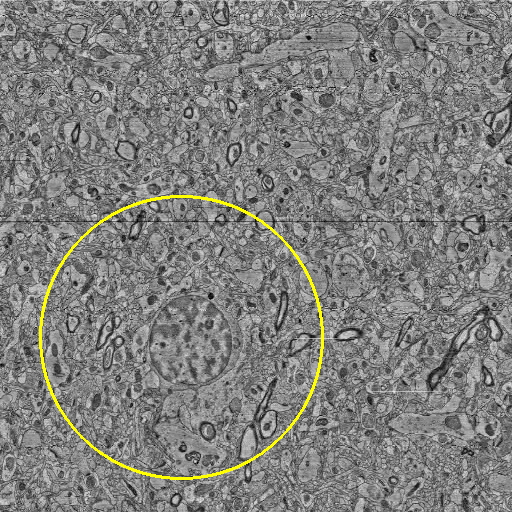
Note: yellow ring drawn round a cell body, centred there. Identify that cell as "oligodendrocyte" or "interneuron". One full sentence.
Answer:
The cell in the middle of the ring is an oligodendrocyte.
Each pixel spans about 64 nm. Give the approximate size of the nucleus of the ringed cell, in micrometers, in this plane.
In this plane the nucleus measures roughly 7 by 5 micrometres.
